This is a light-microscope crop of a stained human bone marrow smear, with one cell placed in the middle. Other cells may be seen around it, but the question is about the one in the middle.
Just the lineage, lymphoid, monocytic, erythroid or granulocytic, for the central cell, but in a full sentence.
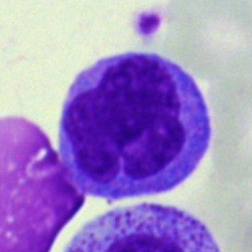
Lineage-wise, the central cell here belongs with the monocytic series.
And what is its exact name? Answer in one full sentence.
As for the cell in the middle, it is a monocyte.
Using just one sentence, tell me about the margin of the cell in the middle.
The cell shows a smooth outline that lacks any surface projections.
